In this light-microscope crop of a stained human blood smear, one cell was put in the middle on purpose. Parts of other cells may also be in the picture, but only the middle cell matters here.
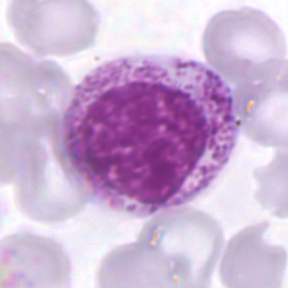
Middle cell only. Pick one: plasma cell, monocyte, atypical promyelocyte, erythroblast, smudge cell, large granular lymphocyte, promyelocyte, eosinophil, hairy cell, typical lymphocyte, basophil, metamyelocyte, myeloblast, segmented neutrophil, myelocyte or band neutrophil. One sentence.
Classification of the middle cell gives a myelocyte.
